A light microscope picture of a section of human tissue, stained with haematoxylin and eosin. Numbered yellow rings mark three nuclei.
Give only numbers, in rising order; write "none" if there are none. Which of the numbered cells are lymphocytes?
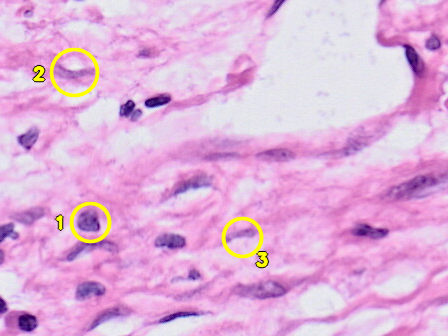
1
